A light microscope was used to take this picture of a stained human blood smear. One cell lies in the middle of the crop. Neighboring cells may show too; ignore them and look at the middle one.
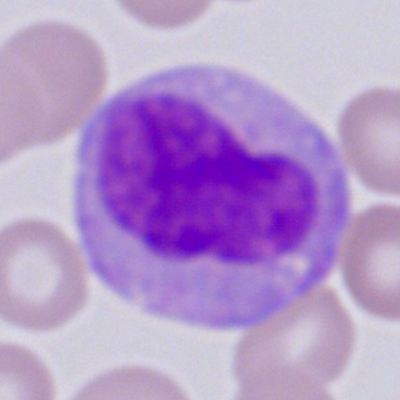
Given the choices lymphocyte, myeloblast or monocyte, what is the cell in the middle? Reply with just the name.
monocyte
